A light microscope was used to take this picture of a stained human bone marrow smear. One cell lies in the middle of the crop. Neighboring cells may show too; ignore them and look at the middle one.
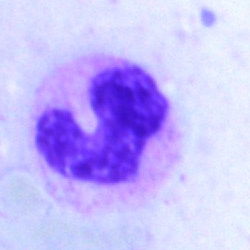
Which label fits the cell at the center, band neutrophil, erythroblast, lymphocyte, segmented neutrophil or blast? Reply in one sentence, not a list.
This crop is built around a band neutrophil at its centre.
